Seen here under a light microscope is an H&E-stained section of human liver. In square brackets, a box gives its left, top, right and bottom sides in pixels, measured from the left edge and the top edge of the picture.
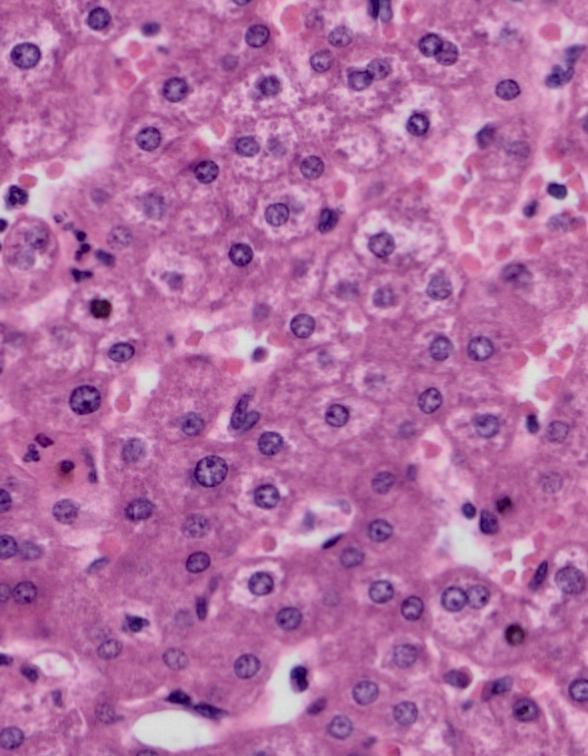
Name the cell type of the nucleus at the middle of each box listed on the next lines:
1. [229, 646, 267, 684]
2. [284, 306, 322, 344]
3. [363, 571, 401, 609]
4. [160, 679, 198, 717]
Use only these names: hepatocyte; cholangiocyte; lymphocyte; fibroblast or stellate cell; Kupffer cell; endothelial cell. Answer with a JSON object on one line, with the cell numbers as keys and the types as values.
{"1": "hepatocyte", "2": "hepatocyte", "3": "hepatocyte", "4": "fibroblast or stellate cell"}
